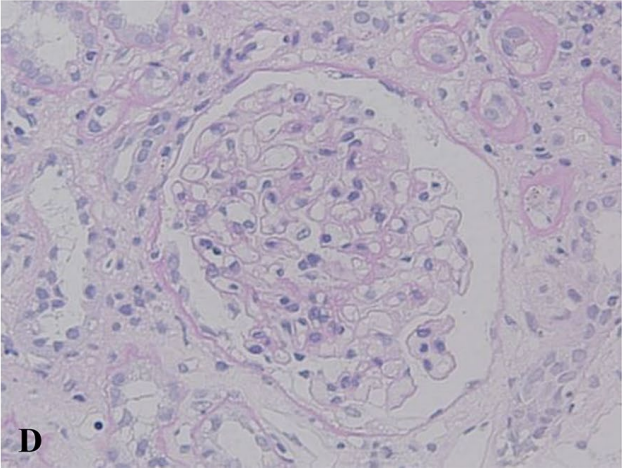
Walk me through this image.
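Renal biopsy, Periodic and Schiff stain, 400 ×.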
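In the centre is a glomerulus, a round tuft of capillary loops whose thin walls are outlined in pink. The loops are open and delicate, with small bluish nuclei scattered along them. Around the tuft runs a thin capsule, separated from it by a clear, empty space. Around the glomerulus lie tubules whose basement membranes stand out as pink rings, with cells in the tissue between them.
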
